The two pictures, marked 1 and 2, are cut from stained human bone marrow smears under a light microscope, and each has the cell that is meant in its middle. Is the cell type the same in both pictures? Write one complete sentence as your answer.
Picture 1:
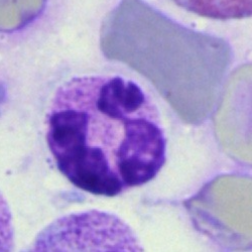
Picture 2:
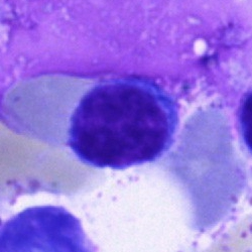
No. Picture 1 shows a segmented neutrophil, but picture 2 shows a lymphocyte.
